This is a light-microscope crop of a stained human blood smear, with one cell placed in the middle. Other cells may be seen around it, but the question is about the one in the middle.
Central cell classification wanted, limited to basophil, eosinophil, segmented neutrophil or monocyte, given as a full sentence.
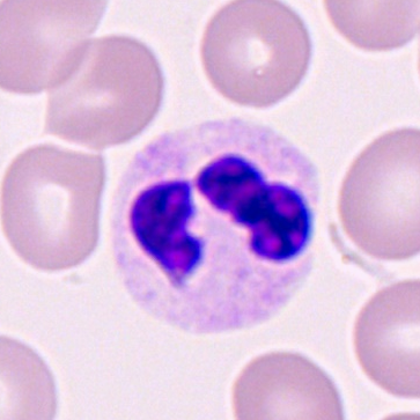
The cell the crop is centered on is a segmented neutrophil.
